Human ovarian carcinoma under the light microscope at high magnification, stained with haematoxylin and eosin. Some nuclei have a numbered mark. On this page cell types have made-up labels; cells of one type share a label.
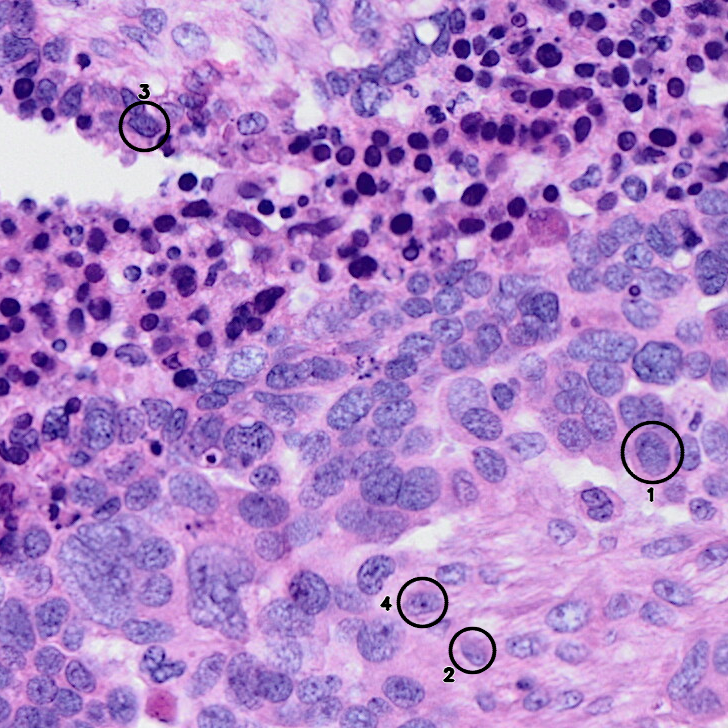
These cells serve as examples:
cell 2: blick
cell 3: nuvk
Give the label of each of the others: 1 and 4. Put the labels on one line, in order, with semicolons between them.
nuvk; blick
